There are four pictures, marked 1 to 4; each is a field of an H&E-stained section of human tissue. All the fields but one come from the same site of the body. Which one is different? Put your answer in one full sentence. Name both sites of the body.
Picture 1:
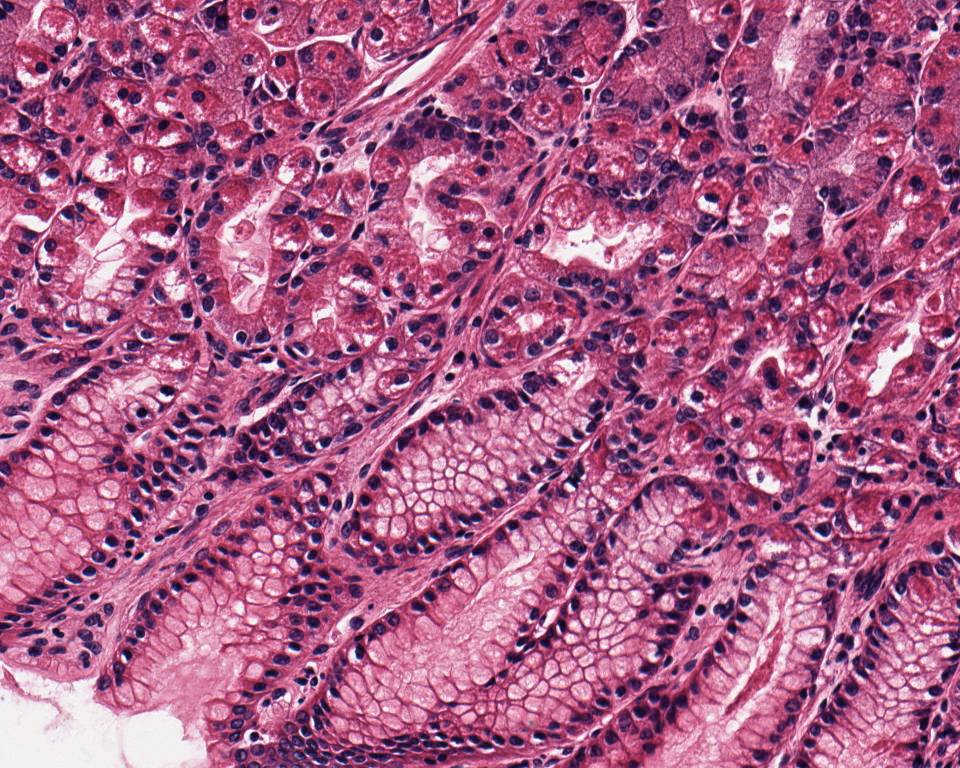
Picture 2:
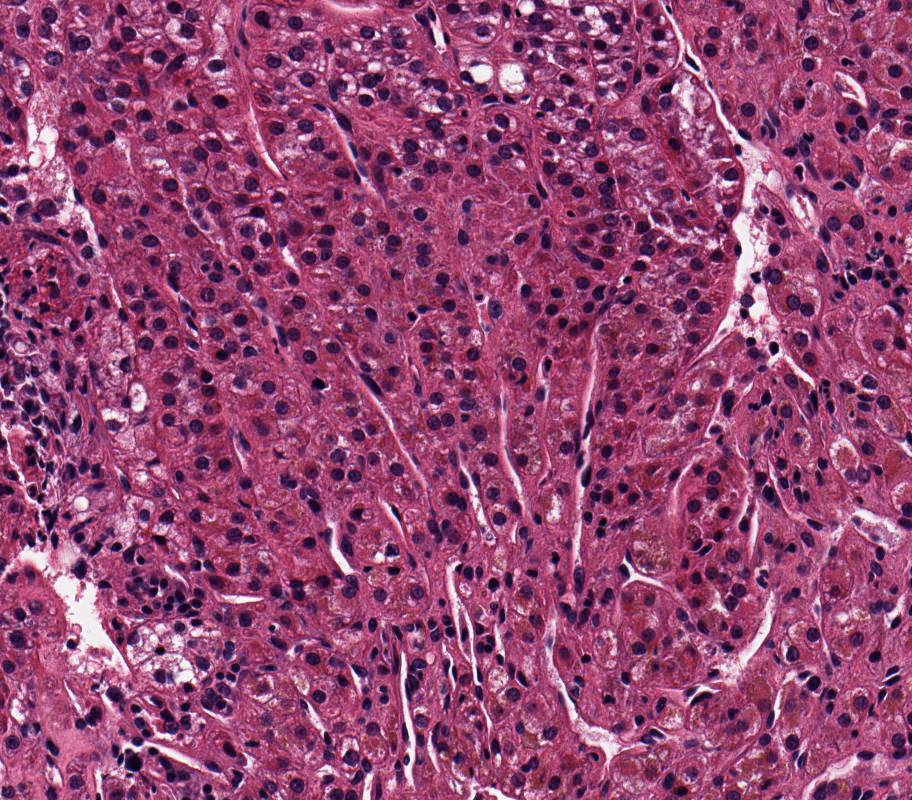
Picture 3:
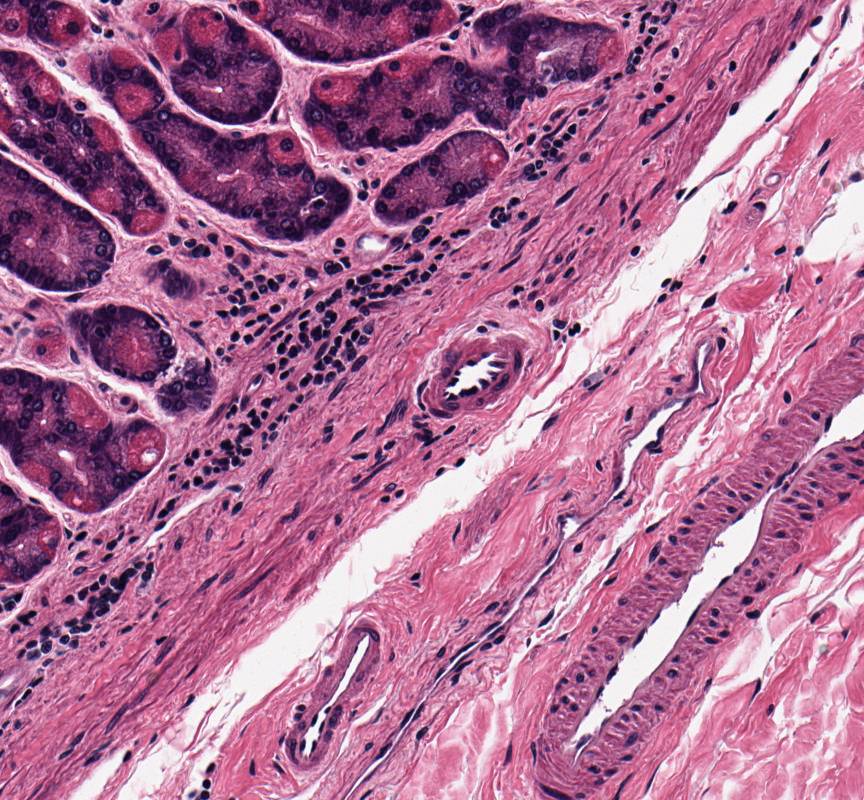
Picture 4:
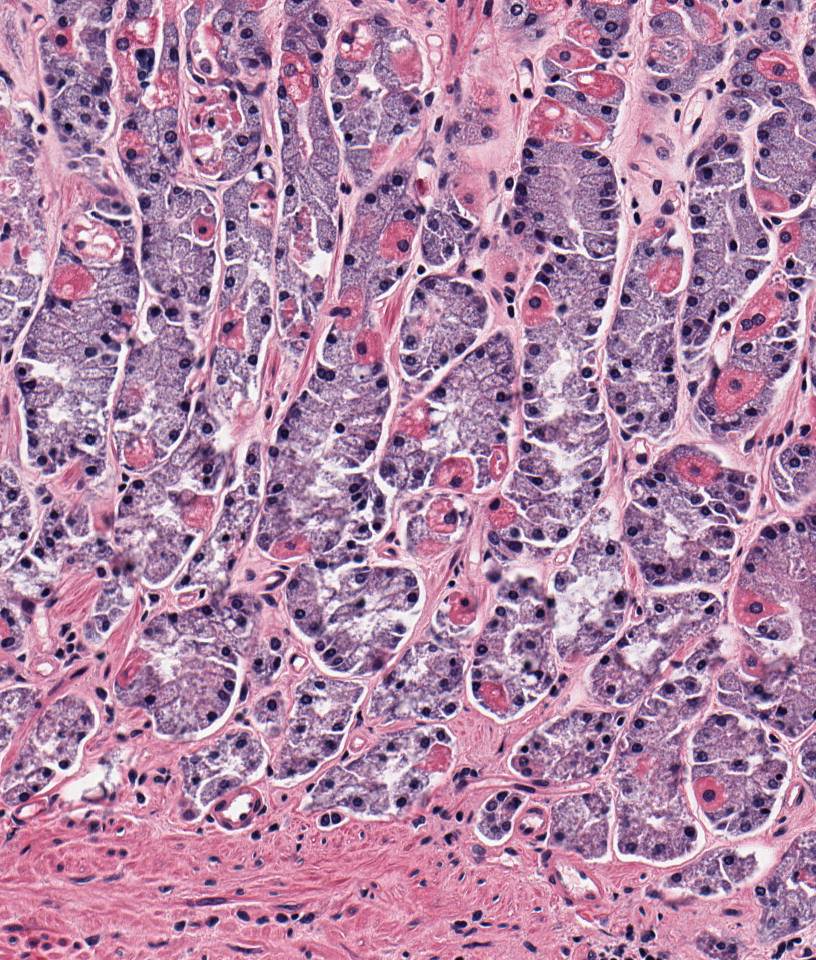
Unlike the rest, which come from the stomach, picture 2 comes from the adrenal gland.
